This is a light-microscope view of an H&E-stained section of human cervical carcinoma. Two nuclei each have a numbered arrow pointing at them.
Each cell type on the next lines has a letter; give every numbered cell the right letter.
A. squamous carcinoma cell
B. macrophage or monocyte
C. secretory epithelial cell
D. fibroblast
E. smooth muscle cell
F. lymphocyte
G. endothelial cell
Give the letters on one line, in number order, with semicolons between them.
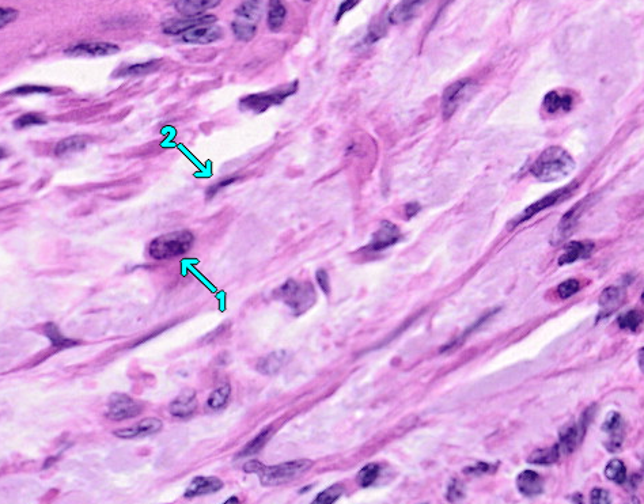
B; D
